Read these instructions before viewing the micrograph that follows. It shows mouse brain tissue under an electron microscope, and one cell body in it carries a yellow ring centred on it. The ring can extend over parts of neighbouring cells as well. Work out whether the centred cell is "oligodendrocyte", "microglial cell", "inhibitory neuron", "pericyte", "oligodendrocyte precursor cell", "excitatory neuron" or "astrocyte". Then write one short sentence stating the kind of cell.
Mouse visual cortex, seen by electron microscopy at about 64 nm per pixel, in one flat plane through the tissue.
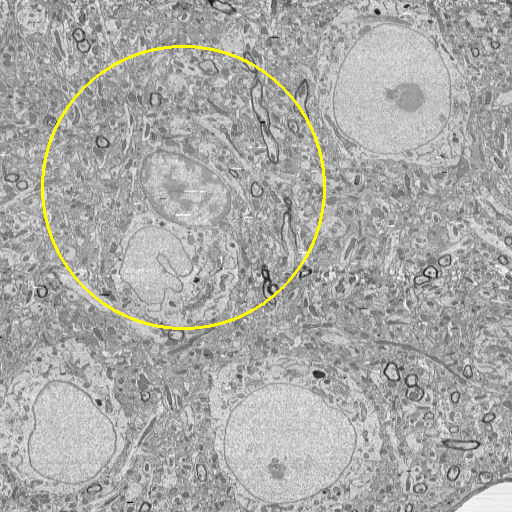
The ringed cell is an oligodendrocyte.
